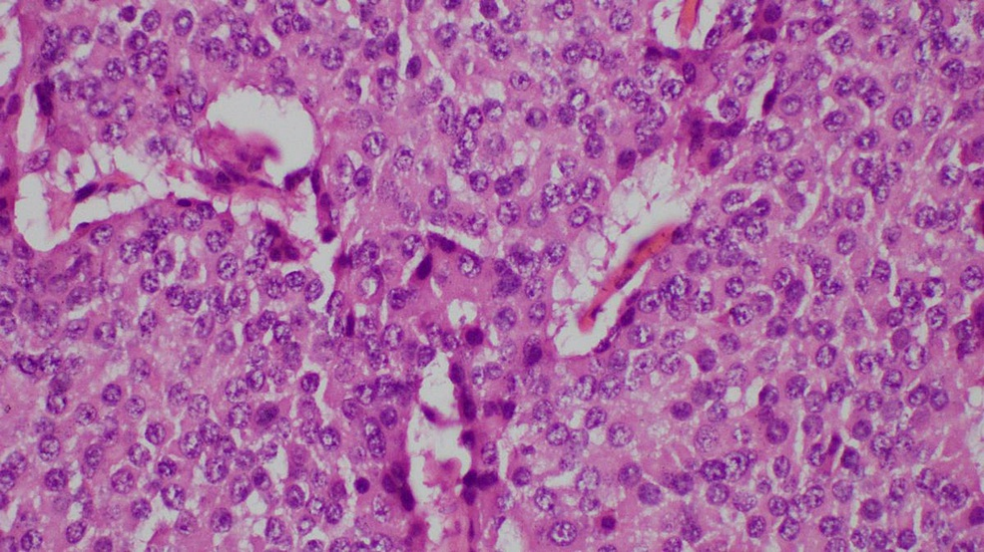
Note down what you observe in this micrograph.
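This is a tumor made of closely packed cells arranged in nests and trabeculae, with narrow clefts and small vascular channels running between the groups. The tumor cells look strikingly alike. Each has a round nucleus of similar size with finely speckled purple chromatin. Around each nucleus is a moderate rim of pink cytoplasm, and the cell borders are often indistinct. The vascular channels are lined by flattened cells with dark, elongated nuclei, and some contain pale, wispy material.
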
